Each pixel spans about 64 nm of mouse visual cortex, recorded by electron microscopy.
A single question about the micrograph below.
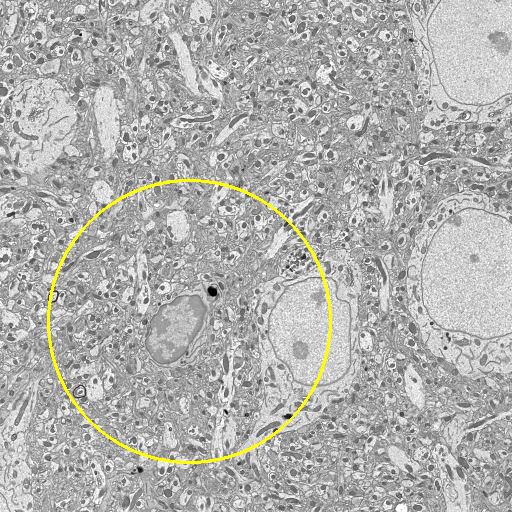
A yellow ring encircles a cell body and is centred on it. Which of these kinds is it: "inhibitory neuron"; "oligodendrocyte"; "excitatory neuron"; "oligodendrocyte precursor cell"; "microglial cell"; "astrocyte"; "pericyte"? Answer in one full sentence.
The cell body at the centre of the yellow ring belongs to a microglial cell.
